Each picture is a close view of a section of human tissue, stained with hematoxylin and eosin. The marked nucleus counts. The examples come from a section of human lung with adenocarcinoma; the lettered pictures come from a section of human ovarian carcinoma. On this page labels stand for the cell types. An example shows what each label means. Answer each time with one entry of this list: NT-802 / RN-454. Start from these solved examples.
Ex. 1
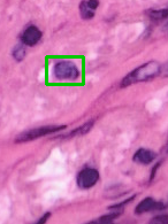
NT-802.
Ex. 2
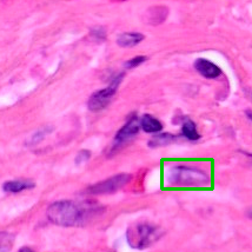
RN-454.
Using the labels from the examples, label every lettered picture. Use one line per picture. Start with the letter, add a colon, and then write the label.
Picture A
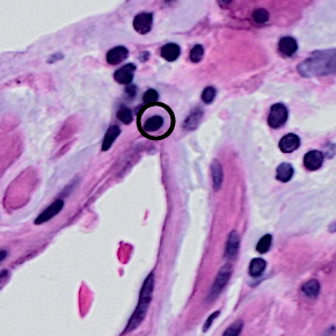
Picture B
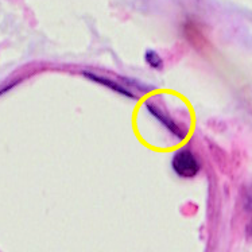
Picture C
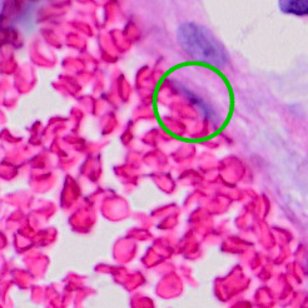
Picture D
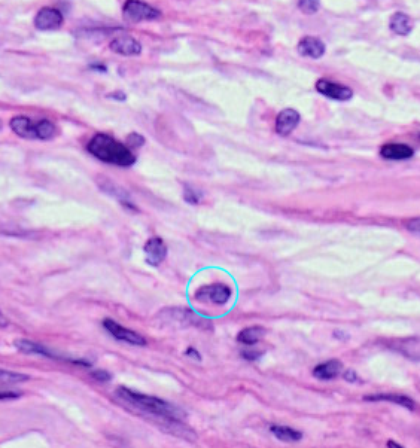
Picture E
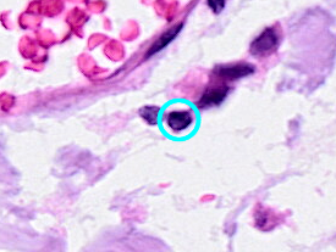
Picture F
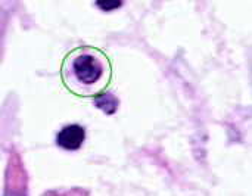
A: NT-802.
B: RN-454.
C: RN-454.
D: NT-802.
E: NT-802.
F: NT-802.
